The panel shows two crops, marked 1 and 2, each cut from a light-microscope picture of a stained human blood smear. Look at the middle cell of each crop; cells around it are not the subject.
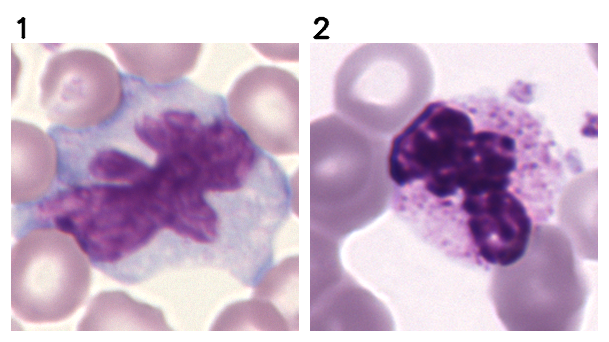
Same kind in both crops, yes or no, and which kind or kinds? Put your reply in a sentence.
No, crop 1 shows a monocyte, and crop 2, by contrast, shows a segmented neutrophil.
